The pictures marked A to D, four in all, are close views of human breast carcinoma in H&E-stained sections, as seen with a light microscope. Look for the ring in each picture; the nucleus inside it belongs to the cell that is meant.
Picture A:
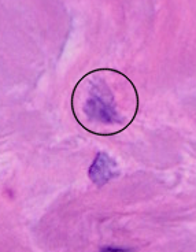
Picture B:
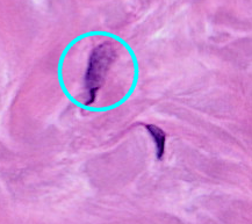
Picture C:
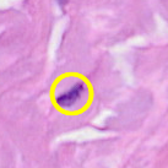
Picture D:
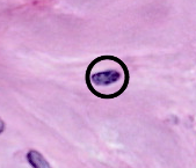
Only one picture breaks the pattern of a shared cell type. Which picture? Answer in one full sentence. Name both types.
Picture D is the odd one out: it shows a lymphocyte, while the others show fibroblasts.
